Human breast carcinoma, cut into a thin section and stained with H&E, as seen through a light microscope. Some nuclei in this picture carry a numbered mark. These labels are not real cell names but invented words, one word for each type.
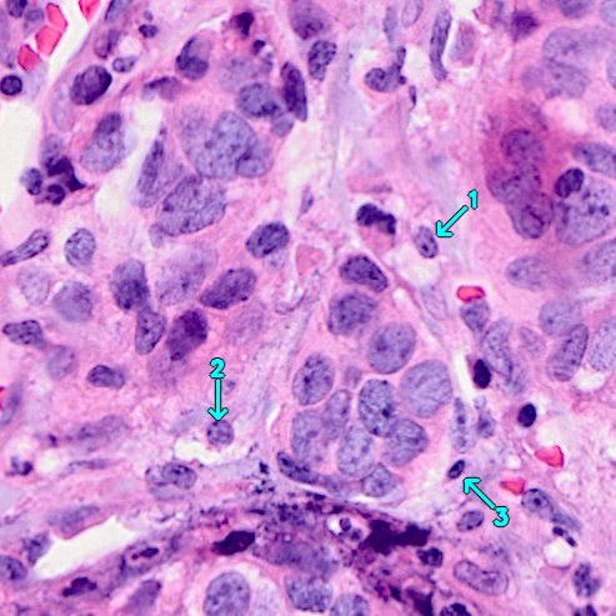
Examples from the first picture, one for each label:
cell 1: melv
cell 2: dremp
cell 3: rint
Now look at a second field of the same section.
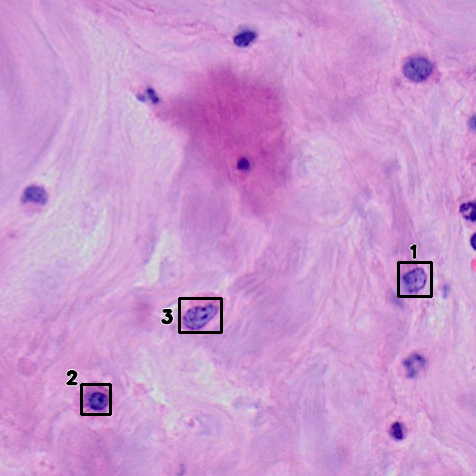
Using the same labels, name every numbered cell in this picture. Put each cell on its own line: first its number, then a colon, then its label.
1: dremp
2: melv
3: melv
